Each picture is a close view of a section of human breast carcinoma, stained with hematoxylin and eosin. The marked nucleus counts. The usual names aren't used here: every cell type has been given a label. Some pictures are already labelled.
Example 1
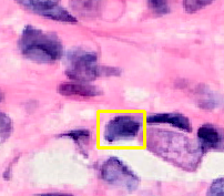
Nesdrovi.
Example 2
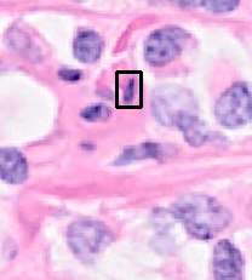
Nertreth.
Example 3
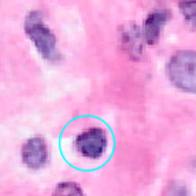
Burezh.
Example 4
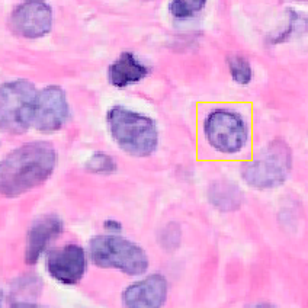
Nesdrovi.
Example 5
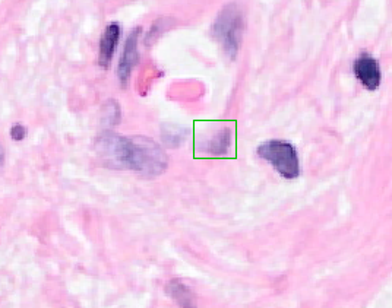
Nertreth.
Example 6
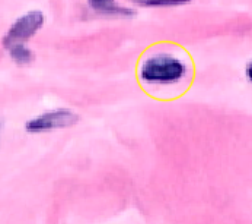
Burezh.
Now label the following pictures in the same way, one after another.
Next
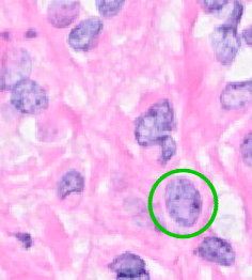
Nesdrovi.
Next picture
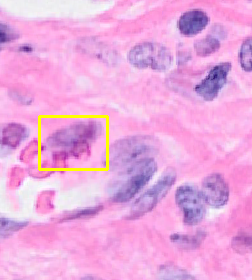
Nertreth.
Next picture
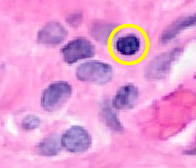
Burezh.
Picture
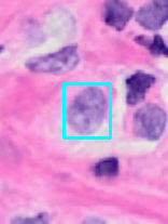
Nesdrovi.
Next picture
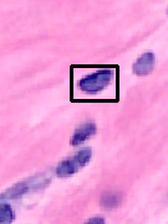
Burezh.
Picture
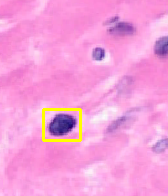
Burezh.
